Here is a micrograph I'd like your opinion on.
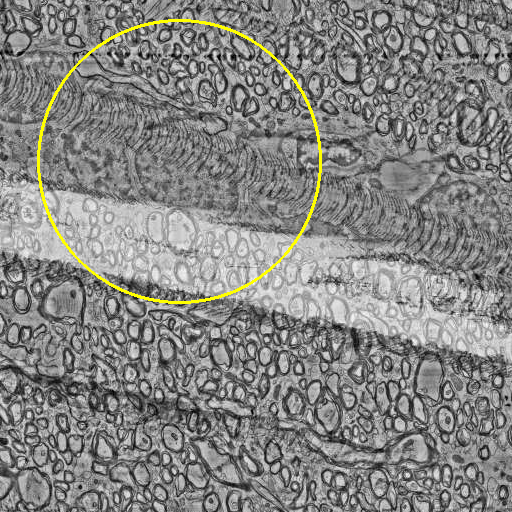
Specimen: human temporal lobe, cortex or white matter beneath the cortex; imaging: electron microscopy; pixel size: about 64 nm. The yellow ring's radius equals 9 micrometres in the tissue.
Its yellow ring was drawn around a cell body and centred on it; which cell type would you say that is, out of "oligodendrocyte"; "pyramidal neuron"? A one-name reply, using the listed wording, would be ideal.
oligodendrocyte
